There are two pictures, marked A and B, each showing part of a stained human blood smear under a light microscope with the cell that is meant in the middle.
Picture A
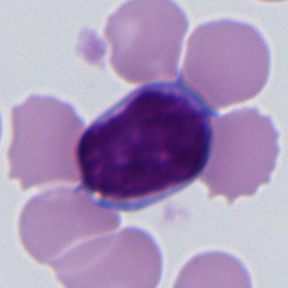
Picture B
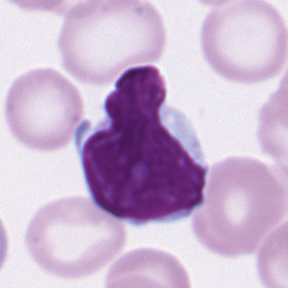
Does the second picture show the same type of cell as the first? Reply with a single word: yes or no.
yes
